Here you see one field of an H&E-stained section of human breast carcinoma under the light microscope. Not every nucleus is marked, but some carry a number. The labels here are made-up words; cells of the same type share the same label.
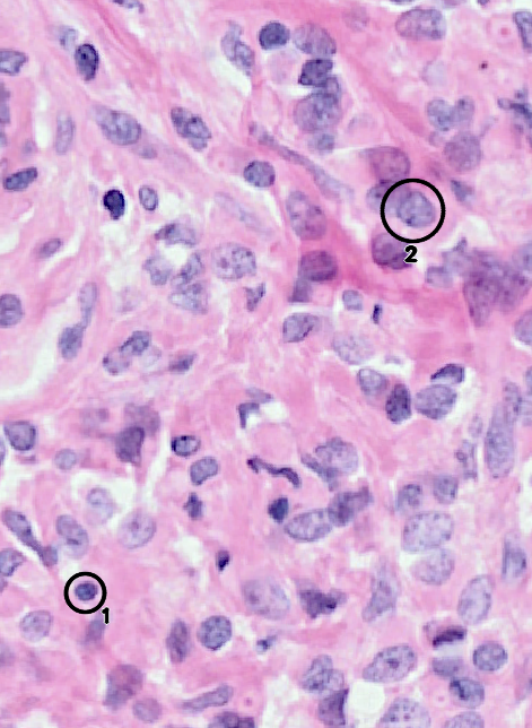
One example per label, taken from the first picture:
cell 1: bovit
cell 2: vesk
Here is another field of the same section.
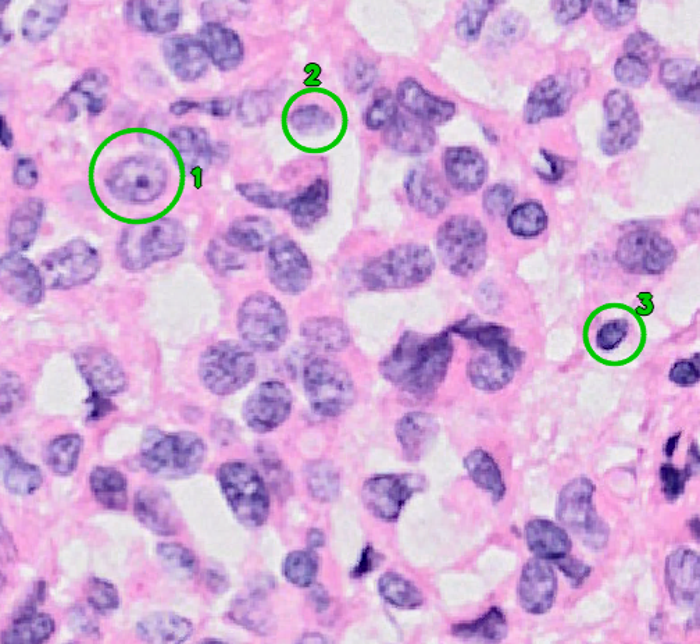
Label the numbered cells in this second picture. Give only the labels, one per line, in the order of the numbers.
vesk
vesk
bovit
